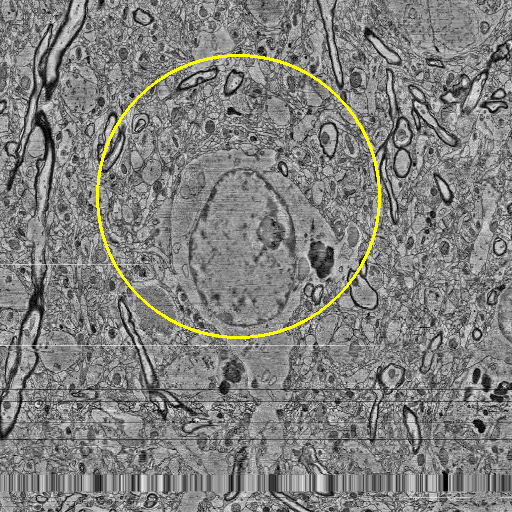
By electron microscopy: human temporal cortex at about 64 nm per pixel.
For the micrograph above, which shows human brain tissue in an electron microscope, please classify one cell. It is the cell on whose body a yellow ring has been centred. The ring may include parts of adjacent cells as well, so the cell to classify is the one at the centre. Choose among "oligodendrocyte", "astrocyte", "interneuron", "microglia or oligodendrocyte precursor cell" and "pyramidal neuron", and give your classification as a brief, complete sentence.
I classify this cell as an astrocyte.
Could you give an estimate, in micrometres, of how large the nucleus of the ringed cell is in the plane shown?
In this plane the nucleus is clearly longer than it is wide: roughly 10 by 7 micrometres.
